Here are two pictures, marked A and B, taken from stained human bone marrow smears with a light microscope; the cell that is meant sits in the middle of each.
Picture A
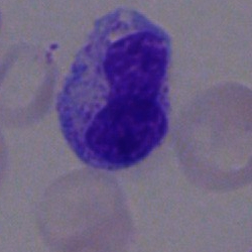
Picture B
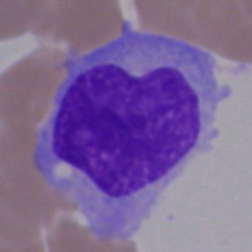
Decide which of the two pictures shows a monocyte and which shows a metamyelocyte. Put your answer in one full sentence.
Picture A is of a metamyelocyte, and picture B is of a monocyte.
